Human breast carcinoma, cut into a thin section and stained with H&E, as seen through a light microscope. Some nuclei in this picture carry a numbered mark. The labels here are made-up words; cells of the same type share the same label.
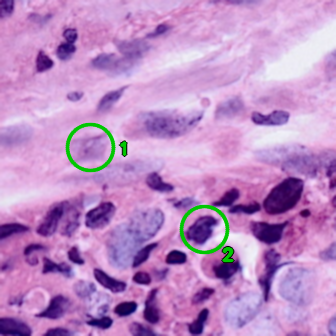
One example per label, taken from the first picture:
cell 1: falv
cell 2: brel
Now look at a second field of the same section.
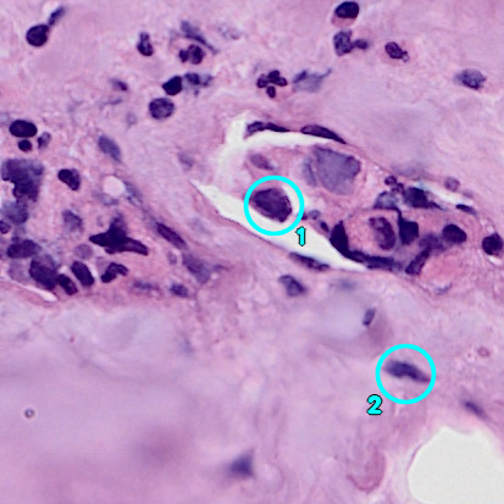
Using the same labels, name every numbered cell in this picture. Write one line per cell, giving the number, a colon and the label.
1: brel
2: falv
